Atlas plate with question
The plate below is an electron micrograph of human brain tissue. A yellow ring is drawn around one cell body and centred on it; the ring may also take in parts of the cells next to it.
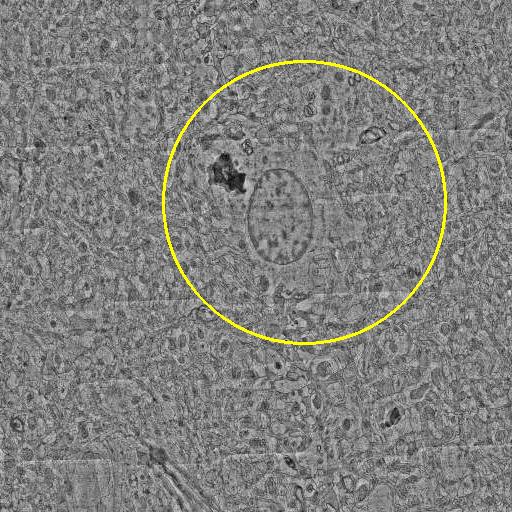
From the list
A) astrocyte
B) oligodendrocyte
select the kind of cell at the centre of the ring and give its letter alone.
A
